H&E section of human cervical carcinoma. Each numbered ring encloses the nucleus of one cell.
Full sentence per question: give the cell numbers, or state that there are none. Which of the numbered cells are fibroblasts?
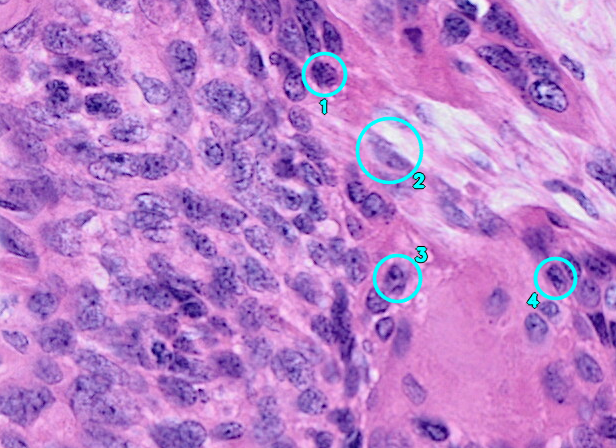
There is only one numbered cell that is a fibroblast, and it is cell 2.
